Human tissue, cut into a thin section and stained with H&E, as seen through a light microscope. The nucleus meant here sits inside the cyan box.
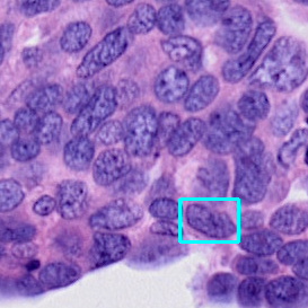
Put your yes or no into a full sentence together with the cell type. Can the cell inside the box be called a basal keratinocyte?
No, the cell inside the box counts as a carcinoma cell rather than as a basal keratinocyte.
